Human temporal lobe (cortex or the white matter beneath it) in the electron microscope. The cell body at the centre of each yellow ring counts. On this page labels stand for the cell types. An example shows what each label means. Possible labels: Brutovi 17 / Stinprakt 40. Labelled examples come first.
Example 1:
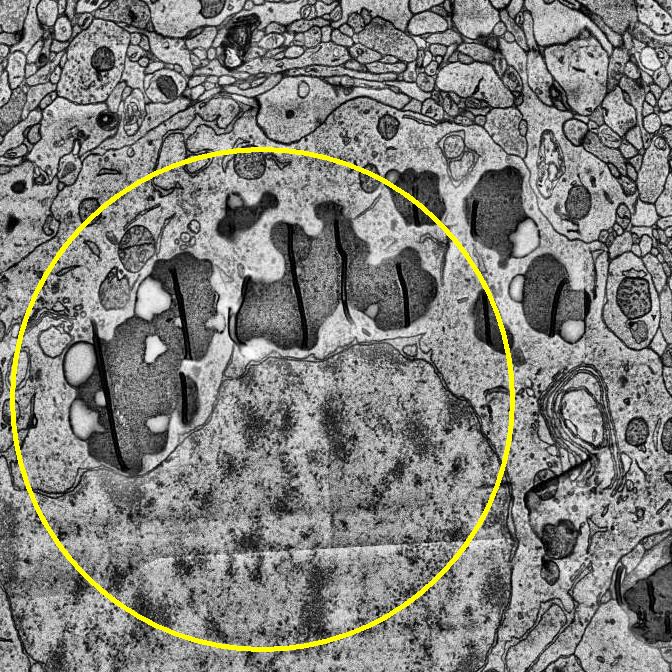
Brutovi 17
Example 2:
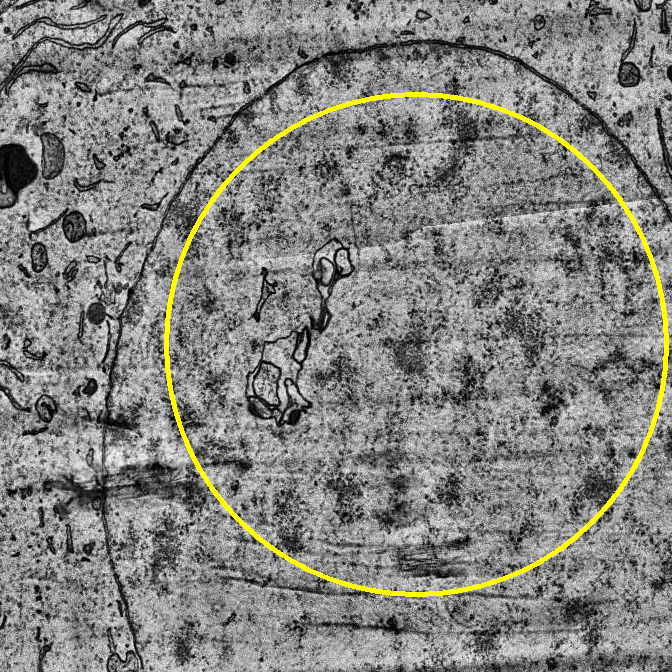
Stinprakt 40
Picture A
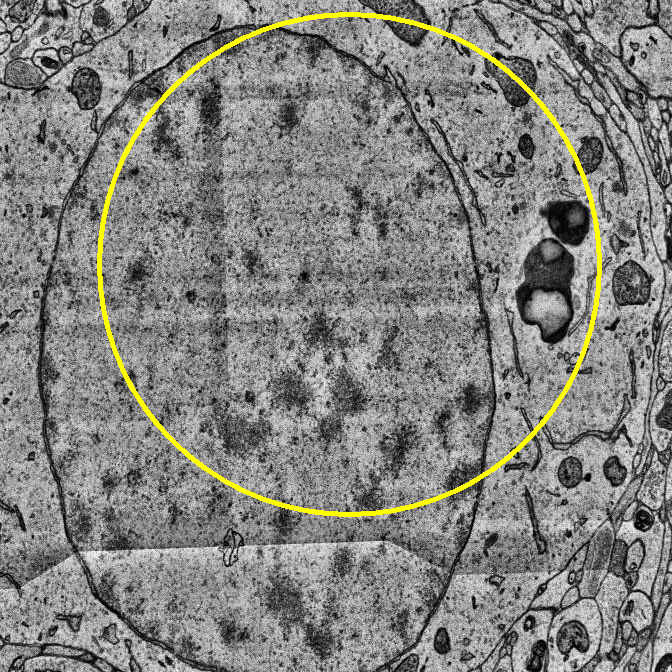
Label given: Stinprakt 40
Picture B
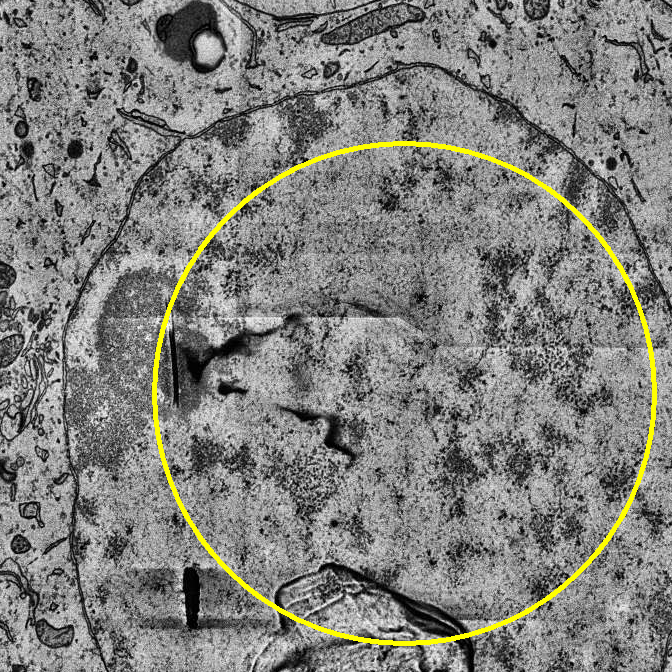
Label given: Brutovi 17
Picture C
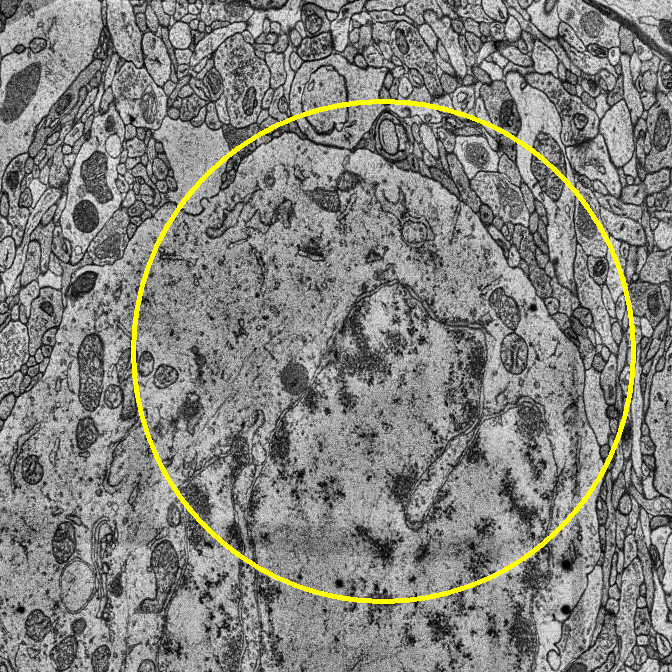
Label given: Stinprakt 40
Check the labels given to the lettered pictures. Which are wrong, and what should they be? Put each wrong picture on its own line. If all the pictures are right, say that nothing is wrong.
Wrong: B (Brutovi 17); correct: Stinprakt 40
Wrong: C (Stinprakt 40); correct: Brutovi 17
